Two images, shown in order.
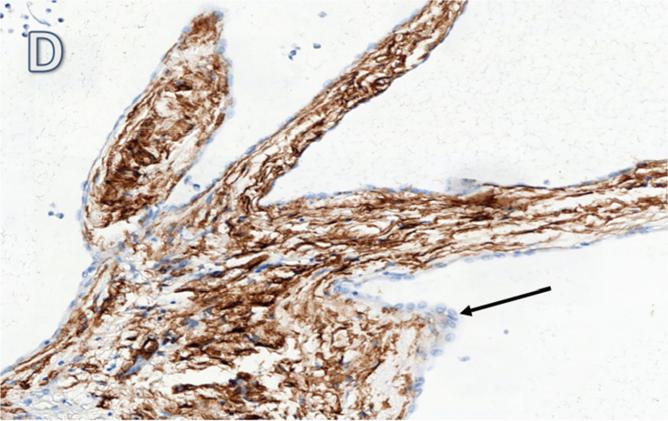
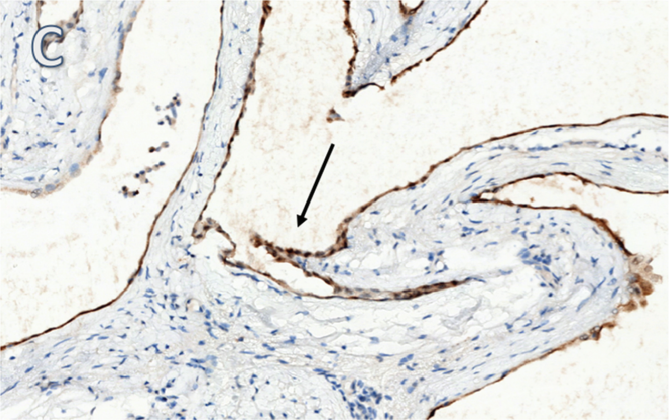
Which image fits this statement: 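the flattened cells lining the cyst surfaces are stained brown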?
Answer: The second image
